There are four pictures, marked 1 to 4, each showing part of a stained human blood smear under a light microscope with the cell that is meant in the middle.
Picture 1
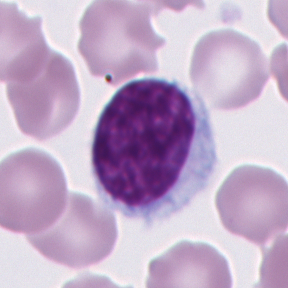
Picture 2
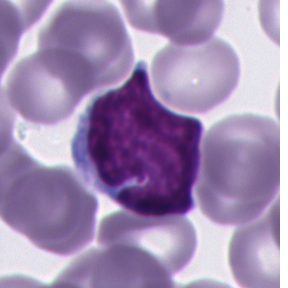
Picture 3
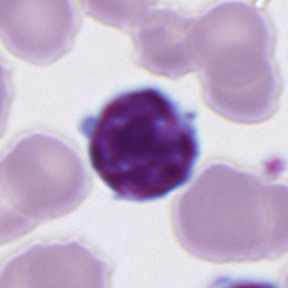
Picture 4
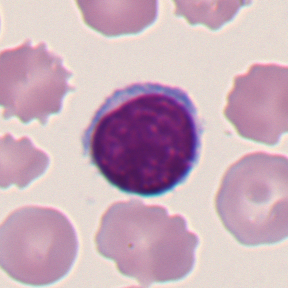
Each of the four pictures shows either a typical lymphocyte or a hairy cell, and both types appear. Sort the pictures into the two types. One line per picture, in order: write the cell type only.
hairy cell
typical lymphocyte
typical lymphocyte
typical lymphocyte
